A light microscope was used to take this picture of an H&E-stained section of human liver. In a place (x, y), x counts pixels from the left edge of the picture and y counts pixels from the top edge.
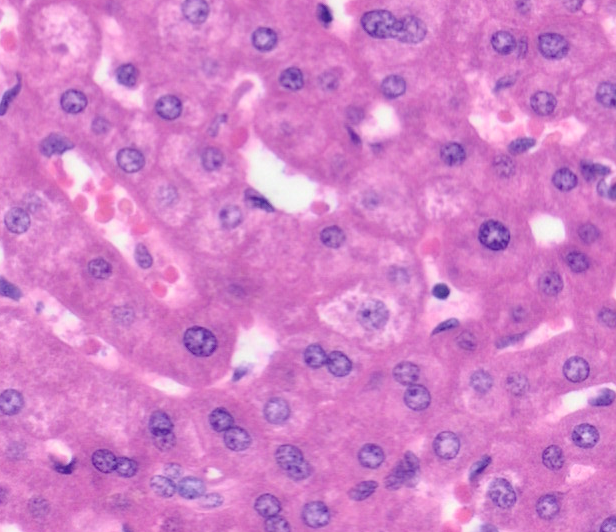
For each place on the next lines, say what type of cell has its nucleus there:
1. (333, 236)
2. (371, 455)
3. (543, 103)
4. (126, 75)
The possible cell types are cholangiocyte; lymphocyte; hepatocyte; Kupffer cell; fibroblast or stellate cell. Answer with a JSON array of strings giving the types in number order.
["hepatocyte", "hepatocyte", "hepatocyte", "Kupffer cell"]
